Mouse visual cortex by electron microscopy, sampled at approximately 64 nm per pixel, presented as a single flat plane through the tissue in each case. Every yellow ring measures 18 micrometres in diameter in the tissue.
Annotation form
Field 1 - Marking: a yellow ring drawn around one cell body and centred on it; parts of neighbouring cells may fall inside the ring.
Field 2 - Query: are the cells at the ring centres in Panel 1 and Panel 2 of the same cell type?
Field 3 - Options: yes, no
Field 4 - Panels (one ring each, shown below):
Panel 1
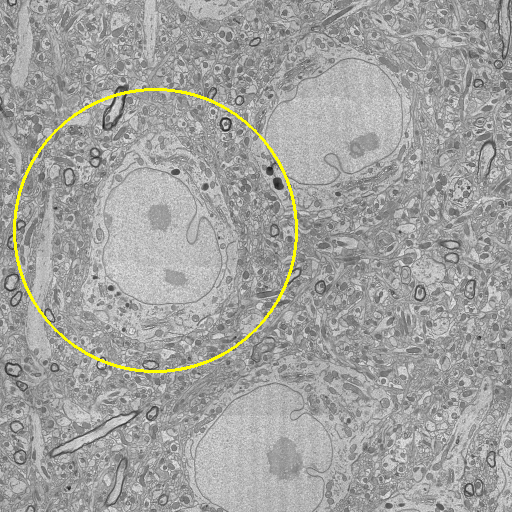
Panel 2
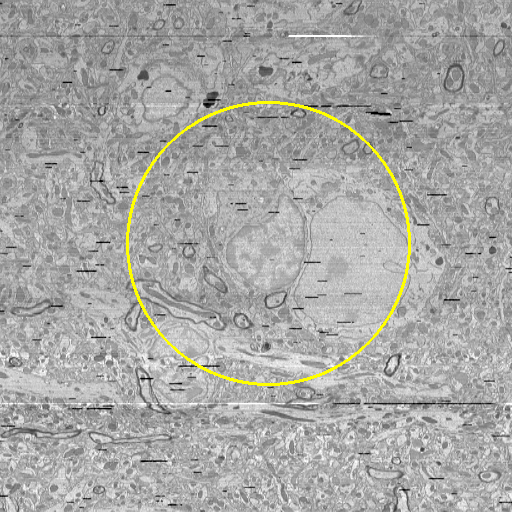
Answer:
no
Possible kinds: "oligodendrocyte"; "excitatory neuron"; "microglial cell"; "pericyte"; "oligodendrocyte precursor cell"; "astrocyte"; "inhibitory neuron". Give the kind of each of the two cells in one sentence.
The cell in the second picture is an oligodendrocyte, and that in the first is an excitatory neuron.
